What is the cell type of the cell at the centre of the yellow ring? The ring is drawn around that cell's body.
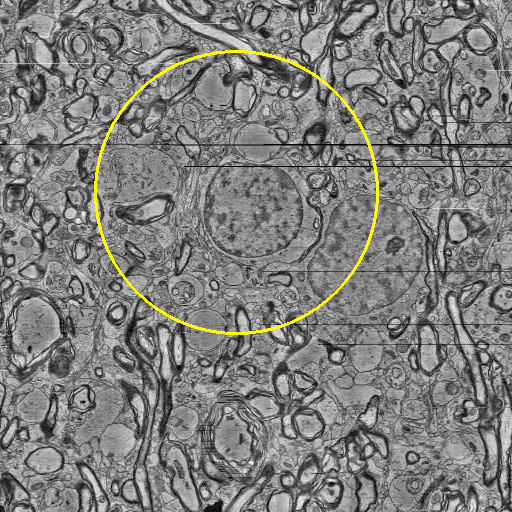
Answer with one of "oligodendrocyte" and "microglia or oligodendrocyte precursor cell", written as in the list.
microglia or oligodendrocyte precursor cell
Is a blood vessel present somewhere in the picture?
No, none shows.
